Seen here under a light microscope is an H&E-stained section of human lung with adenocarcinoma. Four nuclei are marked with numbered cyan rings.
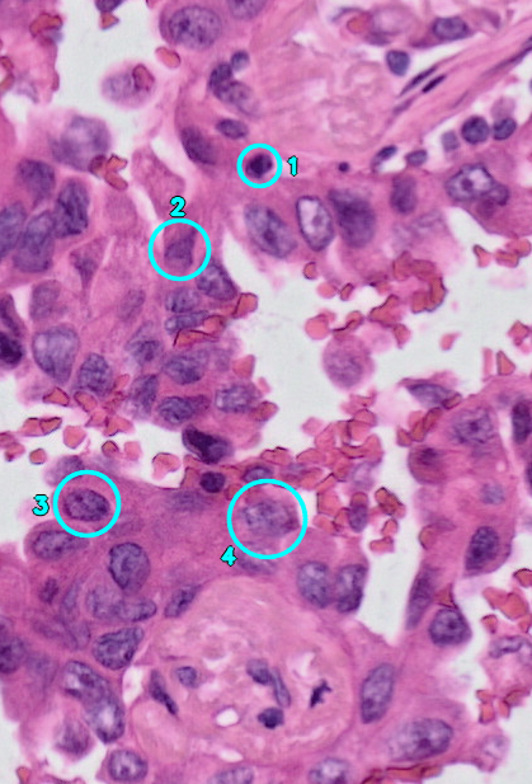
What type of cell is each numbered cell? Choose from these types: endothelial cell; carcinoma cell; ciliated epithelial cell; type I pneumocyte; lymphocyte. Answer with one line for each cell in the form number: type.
1: lymphocyte
2: carcinoma cell
3: carcinoma cell
4: carcinoma cell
